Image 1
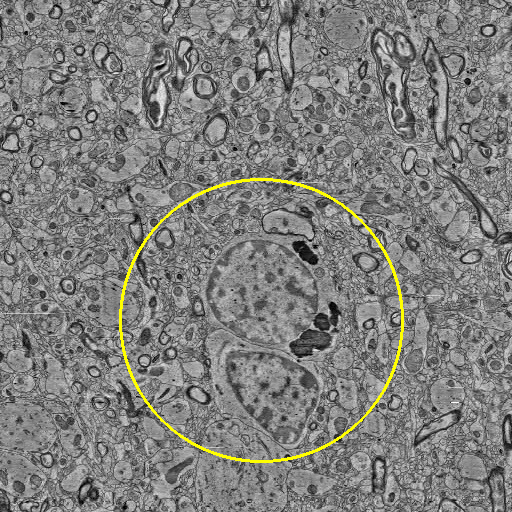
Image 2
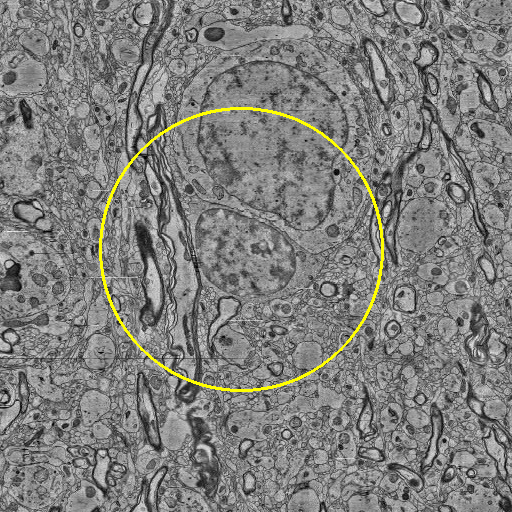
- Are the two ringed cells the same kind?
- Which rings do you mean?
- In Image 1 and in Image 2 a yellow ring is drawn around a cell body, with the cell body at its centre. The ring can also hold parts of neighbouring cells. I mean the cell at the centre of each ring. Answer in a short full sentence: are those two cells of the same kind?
Yes, both cells are of the same kind.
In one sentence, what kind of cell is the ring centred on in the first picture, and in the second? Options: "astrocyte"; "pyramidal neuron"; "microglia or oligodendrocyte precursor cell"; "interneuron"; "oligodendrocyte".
Each one of the two ringed cells is an oligodendrocyte.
